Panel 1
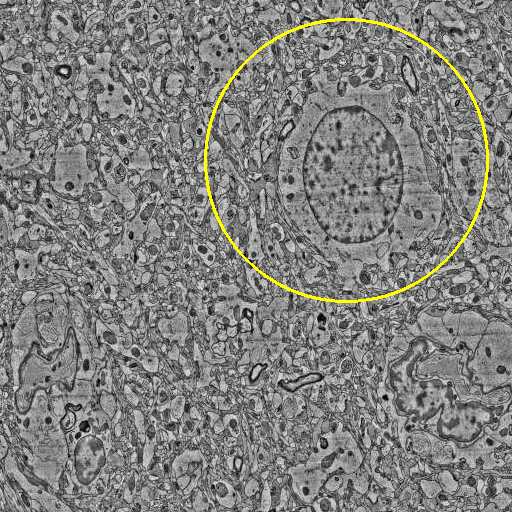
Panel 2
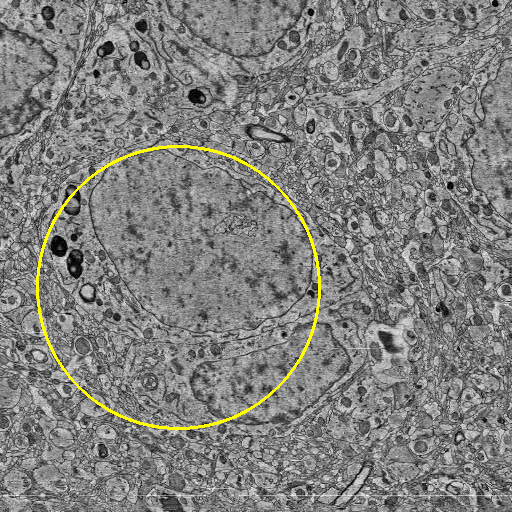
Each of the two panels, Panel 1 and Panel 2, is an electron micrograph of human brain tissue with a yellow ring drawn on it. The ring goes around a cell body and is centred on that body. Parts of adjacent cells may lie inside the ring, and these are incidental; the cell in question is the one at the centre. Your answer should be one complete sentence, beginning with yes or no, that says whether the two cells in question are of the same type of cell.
No, the two cells are of two types.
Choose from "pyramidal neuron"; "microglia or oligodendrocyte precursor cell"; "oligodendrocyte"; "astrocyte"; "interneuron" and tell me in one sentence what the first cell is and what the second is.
What the first ring is centred on is an astrocyte; what the second ring is centred on is a pyramidal neuron.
